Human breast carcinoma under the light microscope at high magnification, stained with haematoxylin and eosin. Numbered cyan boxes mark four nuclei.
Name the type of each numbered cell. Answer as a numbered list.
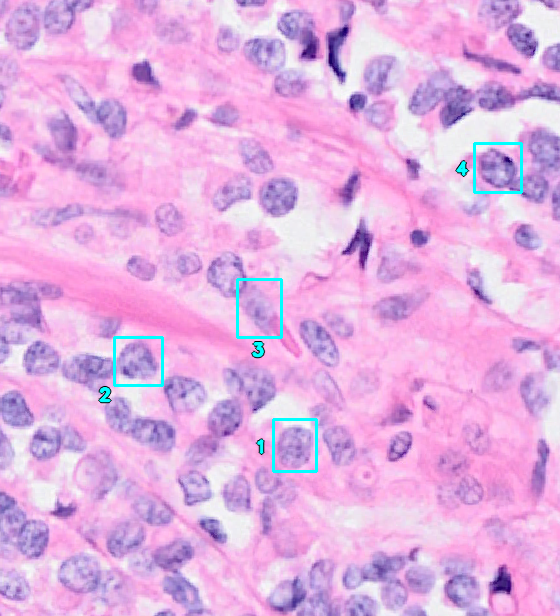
1. carcinoma cell
2. carcinoma cell
3. endothelial cell
4. carcinoma cell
